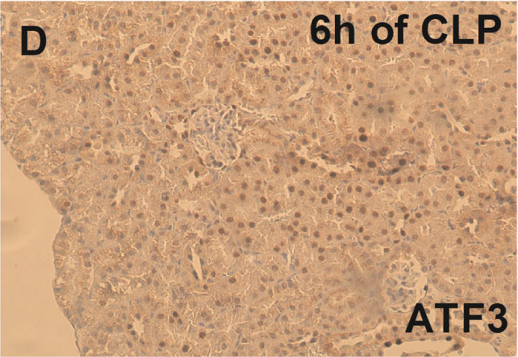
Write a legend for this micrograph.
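Here we look at renal cortex, packed with tubules lined by cuboidal epithelial cells, and with rounded glomeruli visible among them, one near the upper middle and another at the lower right. Throughout the tubules, many of the nuclei are stained brown rather than blue, appearing as small round brown dots set in pale tan cytoplasm. At the left edge a smooth, empty pale band borders the tissue, where the section ends.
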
